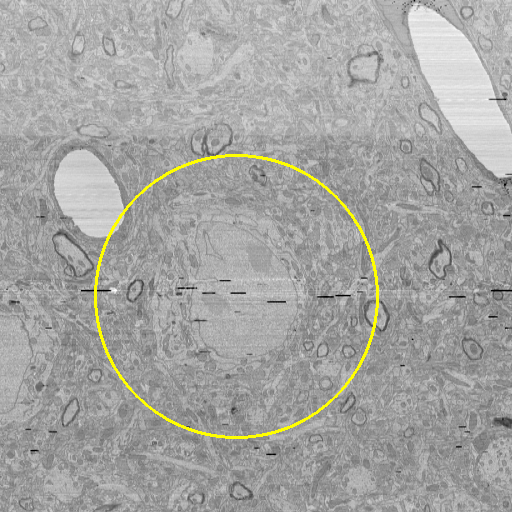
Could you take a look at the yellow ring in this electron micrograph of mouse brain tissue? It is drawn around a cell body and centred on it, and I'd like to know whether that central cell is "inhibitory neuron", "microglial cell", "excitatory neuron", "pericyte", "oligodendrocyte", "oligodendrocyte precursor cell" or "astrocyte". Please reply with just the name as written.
inhibitory neuron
